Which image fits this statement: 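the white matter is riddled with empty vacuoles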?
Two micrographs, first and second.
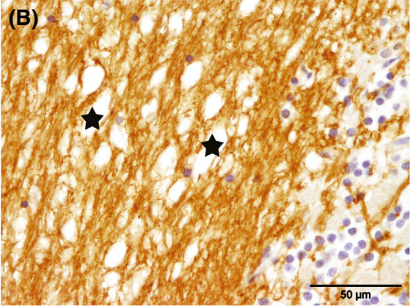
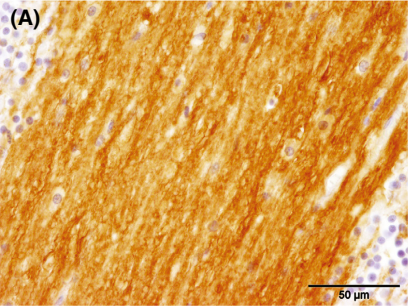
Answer: The first image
